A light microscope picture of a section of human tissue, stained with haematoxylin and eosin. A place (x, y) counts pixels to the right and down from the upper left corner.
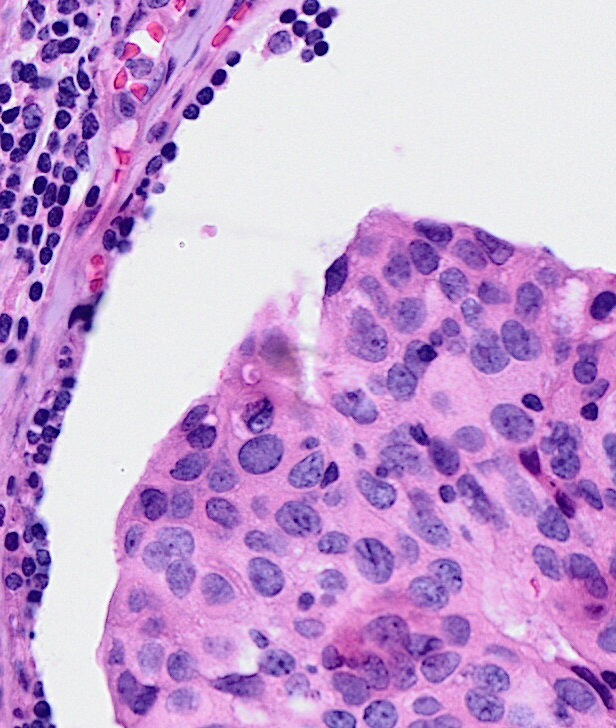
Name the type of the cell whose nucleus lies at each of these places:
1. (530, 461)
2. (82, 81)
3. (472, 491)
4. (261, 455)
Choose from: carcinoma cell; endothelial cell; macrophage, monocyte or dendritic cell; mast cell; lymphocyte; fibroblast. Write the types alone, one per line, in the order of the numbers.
carcinoma cell
lymphocyte
carcinoma cell
carcinoma cell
